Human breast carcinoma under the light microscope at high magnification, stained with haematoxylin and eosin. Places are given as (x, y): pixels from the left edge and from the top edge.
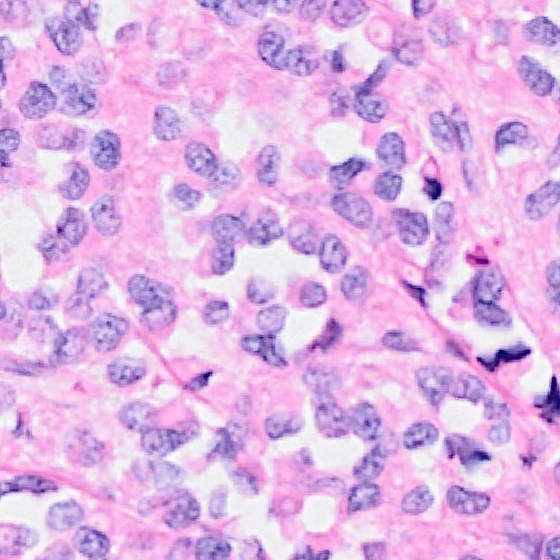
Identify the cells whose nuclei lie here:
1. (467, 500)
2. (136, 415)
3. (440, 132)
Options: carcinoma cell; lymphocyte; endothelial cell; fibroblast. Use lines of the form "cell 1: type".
cell 1: carcinoma cell
cell 2: carcinoma cell
cell 3: endothelial cell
